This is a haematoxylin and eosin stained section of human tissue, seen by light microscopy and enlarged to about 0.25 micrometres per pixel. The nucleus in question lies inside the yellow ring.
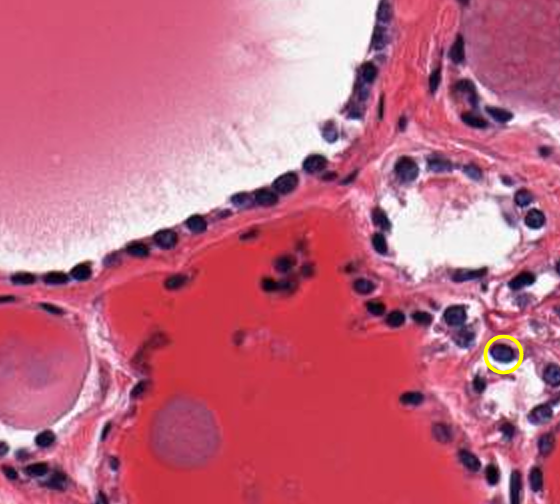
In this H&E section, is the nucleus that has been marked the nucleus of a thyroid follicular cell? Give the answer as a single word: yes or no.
yes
